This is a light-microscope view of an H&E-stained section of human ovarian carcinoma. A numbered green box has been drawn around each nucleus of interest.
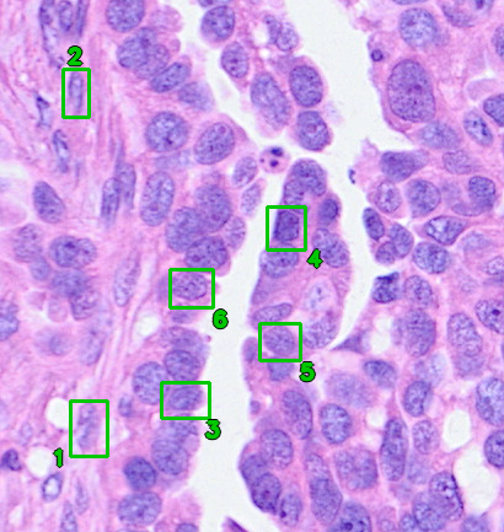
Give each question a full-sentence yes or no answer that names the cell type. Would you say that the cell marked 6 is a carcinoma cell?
Yes, that is so; number 6 marks a carcinoma cell.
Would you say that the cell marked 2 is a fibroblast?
Yes, the cell shown as number 2 is a fibroblast.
